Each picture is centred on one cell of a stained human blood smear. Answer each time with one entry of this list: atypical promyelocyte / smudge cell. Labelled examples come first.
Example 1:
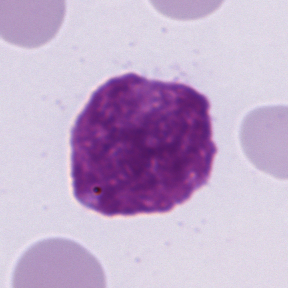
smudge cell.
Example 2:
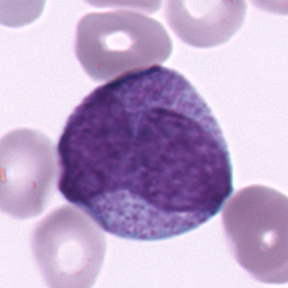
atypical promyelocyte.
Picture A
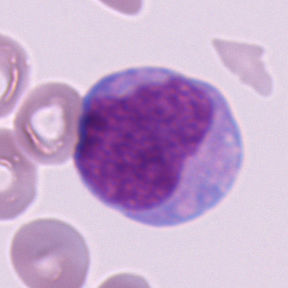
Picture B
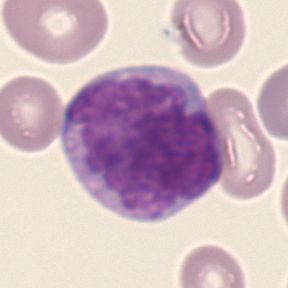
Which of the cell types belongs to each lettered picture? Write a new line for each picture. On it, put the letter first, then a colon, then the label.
A: atypical promyelocyte.
B: atypical promyelocyte.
